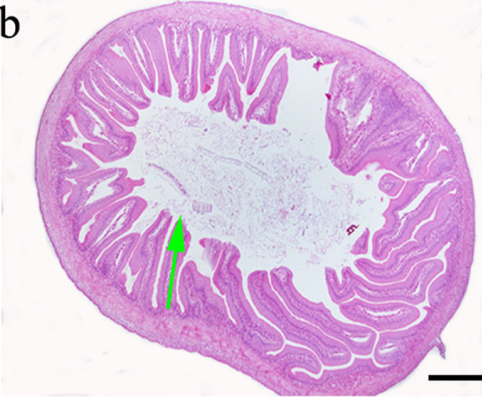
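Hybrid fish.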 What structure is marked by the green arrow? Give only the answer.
Intestinal villi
